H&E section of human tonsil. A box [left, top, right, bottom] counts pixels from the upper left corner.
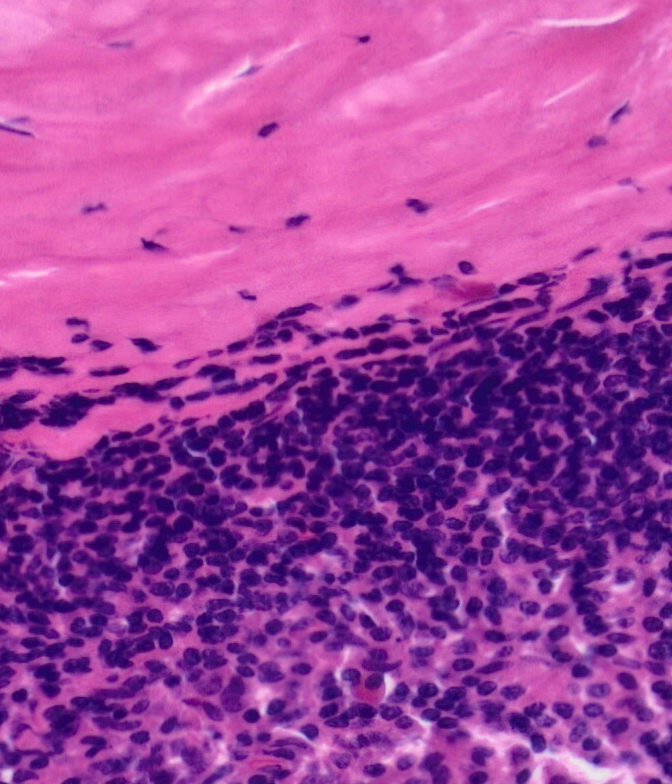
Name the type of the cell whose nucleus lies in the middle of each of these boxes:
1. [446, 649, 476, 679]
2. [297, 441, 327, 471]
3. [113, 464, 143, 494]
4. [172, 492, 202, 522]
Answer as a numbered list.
1. plasma cell
2. small lymphocyte
3. small lymphocyte
4. small lymphocyte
